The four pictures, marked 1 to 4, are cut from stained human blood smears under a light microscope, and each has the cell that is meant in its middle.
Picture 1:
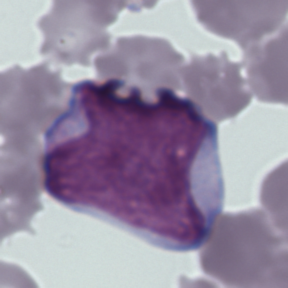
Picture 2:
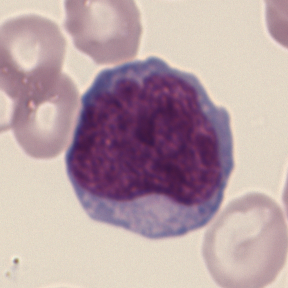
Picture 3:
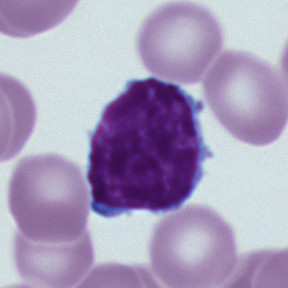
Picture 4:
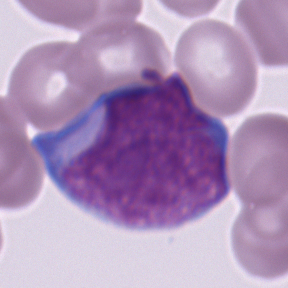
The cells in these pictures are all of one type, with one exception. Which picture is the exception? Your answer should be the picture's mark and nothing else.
3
